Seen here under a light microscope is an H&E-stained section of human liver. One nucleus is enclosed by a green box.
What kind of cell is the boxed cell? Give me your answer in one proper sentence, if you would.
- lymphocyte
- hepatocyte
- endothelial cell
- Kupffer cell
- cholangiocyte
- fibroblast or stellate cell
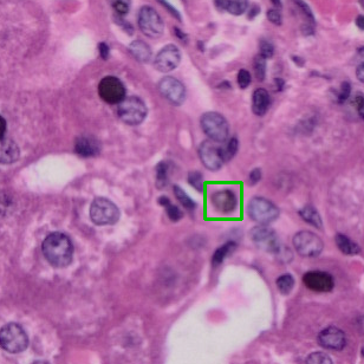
The identity of the boxed cell is that of a cholangiocyte.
